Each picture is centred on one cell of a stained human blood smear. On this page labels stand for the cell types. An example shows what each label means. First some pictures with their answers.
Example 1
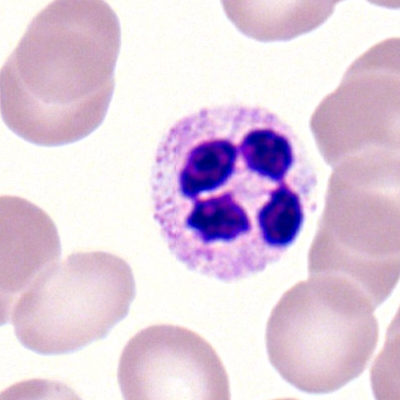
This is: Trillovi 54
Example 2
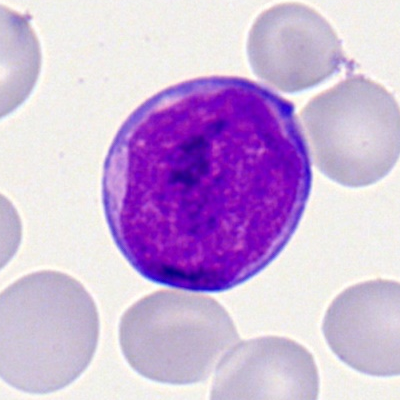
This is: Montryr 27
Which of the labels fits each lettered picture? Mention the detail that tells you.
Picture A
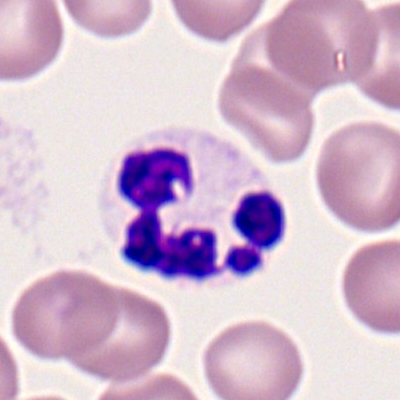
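Trillovi 54: The nucleus is divided into several separate lobes rather than forming one single mass.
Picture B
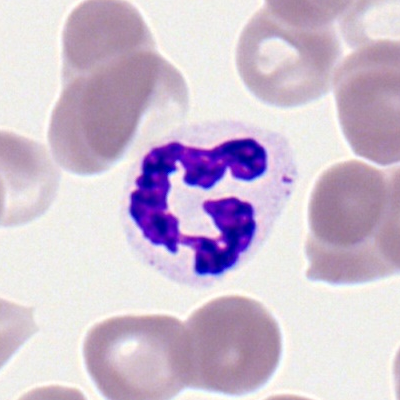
Trillovi 54: The nucleus is a single curved band bent into a C or G shape that opens toward the right.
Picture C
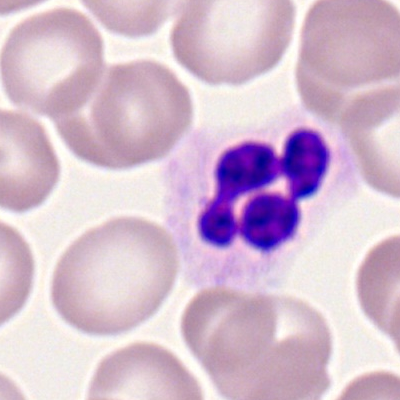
Trillovi 54: The nucleus is divided into four separate lobes.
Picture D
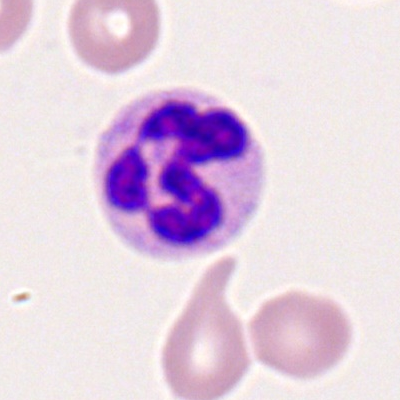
Trillovi 54: The nucleus is divided into several separate lobes.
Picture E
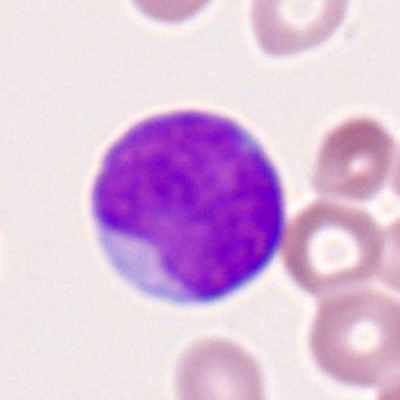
Montryr 27: The nucleus fills most of the cell.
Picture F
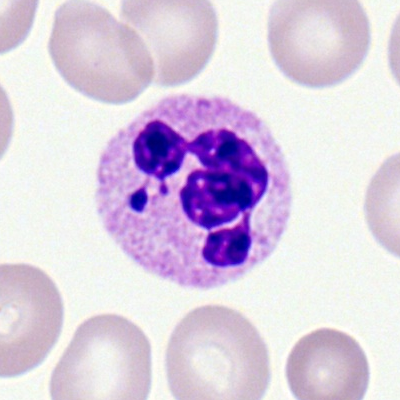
Trillovi 54: The cytoplasm is plentiful and pale pinkish-lilac.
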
